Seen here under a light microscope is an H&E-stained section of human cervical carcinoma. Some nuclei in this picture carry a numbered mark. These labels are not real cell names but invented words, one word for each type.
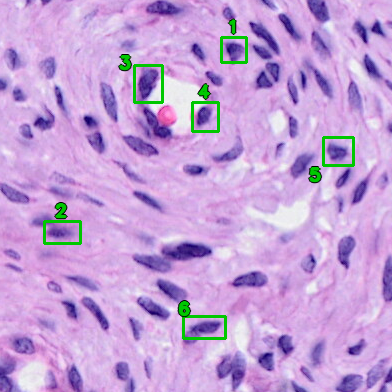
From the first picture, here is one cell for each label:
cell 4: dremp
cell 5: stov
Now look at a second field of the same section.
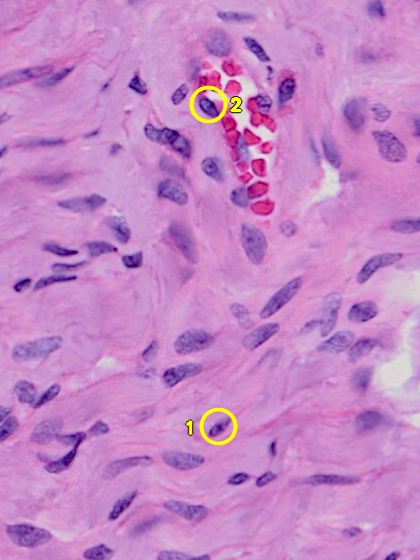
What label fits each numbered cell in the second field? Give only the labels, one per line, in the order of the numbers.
stov
dremp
